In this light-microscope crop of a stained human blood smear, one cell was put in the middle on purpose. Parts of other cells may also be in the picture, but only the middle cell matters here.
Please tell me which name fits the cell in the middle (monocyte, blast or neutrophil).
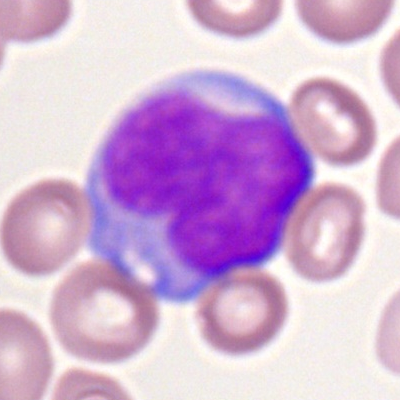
blast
